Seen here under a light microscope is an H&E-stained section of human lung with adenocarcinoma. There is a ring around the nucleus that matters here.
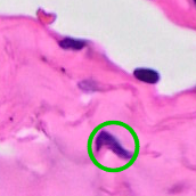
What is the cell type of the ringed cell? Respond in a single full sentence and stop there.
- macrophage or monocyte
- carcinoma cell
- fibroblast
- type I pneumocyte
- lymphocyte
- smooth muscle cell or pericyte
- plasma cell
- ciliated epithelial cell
In the stained section, the ringed cell is a fibroblast.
